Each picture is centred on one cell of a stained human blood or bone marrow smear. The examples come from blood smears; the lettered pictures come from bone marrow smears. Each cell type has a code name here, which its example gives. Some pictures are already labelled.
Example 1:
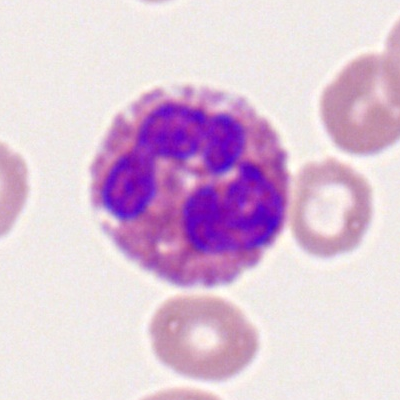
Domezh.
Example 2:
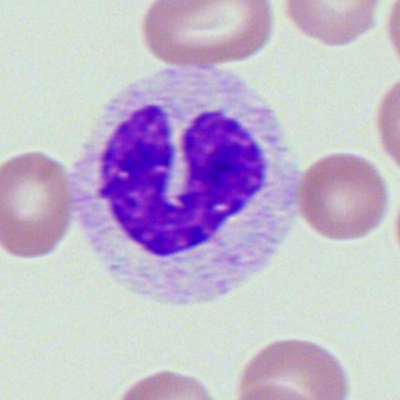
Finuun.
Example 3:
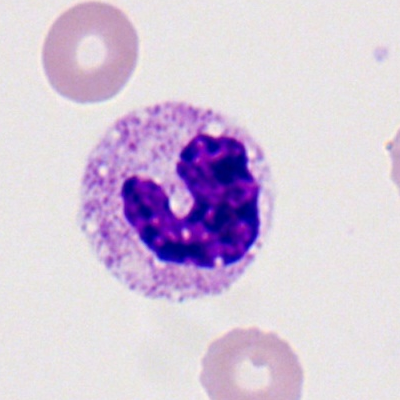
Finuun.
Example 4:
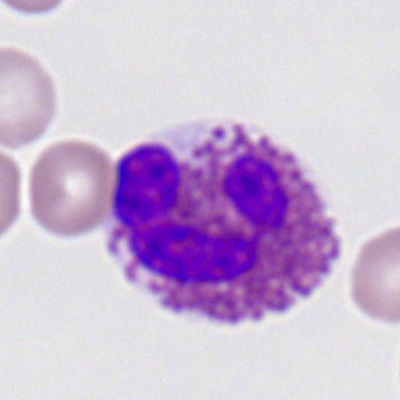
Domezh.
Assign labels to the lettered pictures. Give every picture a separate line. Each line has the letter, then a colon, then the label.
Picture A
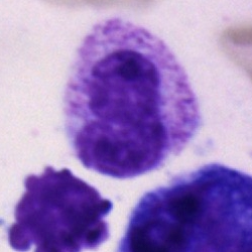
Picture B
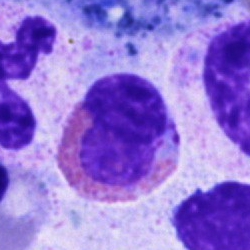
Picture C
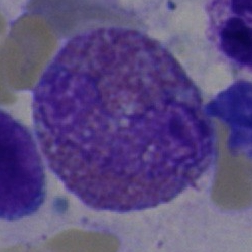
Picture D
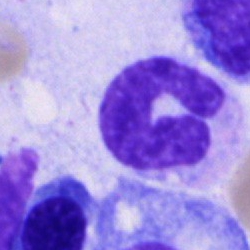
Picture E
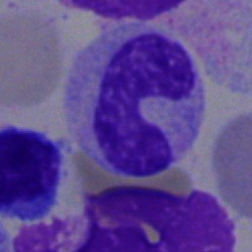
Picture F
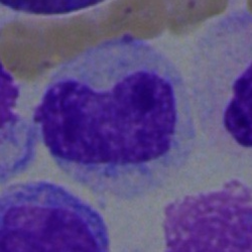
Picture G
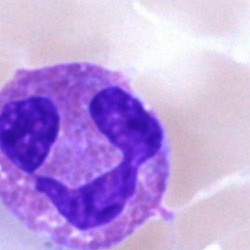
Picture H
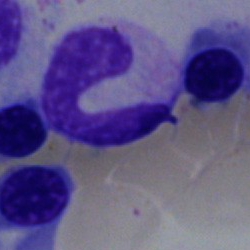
A: Finuun.
B: Domezh.
C: Domezh.
D: Finuun.
E: Finuun.
F: Finuun.
G: Domezh.
H: Finuun.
